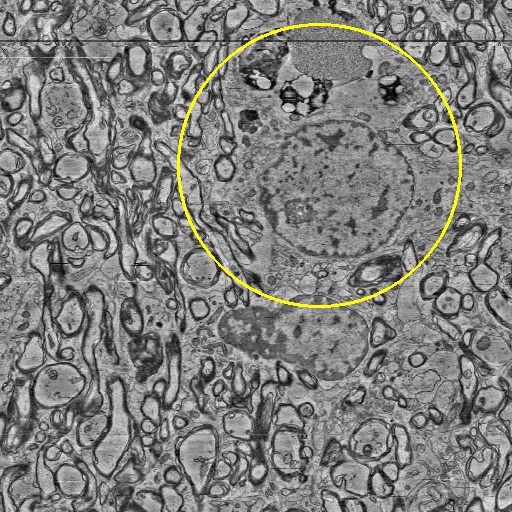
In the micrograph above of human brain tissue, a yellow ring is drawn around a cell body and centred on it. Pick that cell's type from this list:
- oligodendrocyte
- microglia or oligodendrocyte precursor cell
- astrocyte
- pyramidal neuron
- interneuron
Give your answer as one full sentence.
Going by the list, an astrocyte is the cell on which the yellow ring is centred.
